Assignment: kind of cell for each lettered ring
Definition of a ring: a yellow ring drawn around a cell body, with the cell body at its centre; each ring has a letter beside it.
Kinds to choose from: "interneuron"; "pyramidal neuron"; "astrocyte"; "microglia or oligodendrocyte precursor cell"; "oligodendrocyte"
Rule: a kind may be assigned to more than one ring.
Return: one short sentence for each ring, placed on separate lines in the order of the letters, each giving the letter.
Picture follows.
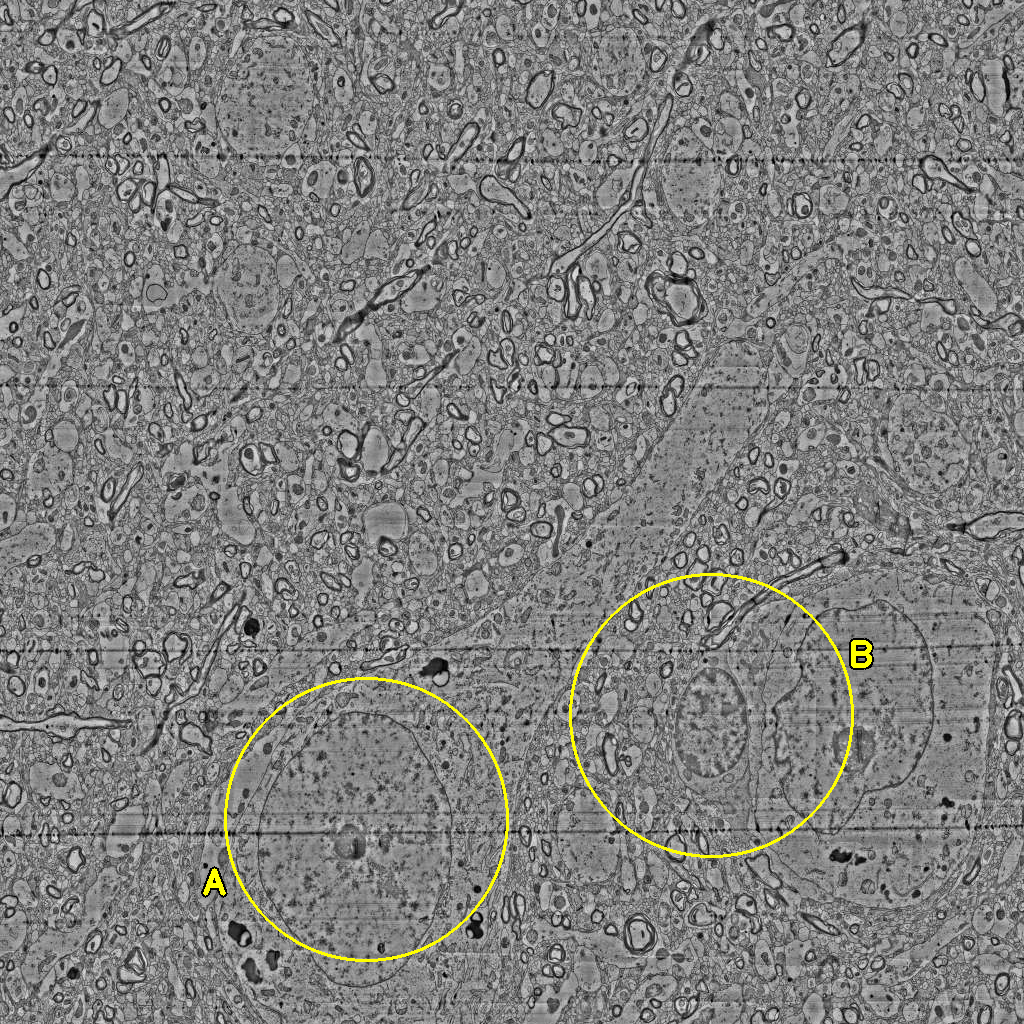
The ring marked A is centred on a pyramidal neuron.
The ring marked B is centred on an oligodendrocyte.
